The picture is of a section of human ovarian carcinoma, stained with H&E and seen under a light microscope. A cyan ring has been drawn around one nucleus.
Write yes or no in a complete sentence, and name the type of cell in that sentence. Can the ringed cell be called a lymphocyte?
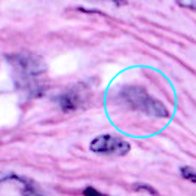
No, the ringed cell is simply a fibroblast rather than a lymphocyte.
